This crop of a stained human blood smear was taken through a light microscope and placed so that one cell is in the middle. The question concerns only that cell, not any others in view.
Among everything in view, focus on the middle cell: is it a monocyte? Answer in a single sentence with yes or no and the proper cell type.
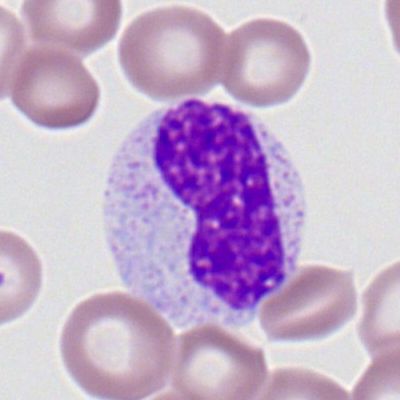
Yes, the cell sitting in the middle of this smear crop is a monocyte.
